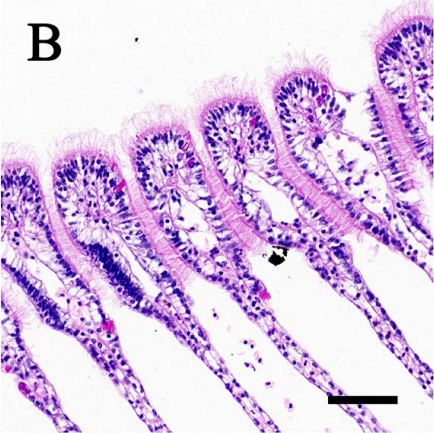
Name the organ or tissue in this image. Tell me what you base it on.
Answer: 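A row of parallel filaments with rounded tips. Each tip is covered by tall epithelium carrying a fringe of cilia.
Conclusion: gills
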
